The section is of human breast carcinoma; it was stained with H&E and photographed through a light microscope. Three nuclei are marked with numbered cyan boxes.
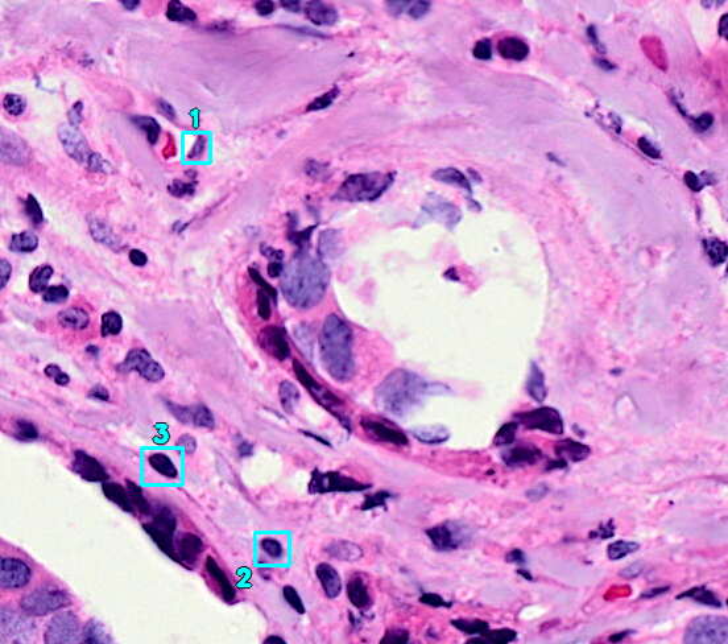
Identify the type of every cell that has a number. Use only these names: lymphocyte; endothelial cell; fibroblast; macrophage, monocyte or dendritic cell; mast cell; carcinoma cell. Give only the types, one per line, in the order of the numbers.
endothelial cell
lymphocyte
lymphocyte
